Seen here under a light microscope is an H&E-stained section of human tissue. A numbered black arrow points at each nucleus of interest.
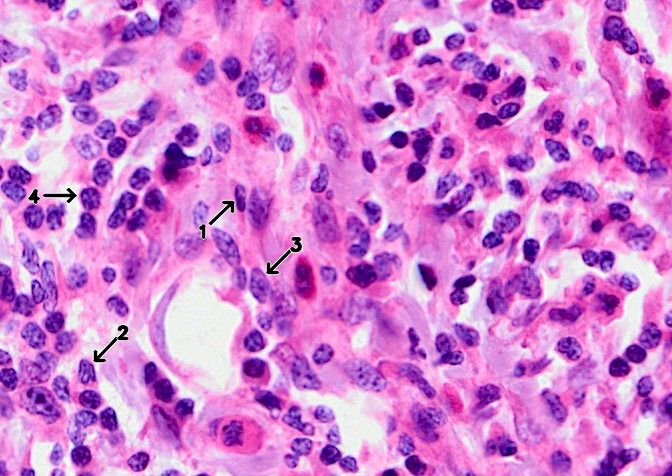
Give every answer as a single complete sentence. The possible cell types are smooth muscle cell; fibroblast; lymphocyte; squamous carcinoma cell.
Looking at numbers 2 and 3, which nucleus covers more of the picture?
Of the two, number 3 is bigger and takes up about 1.5 times the area of number 2.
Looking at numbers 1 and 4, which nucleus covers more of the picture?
The larger nucleus is 4, at roughly 1.5 times the area of 1.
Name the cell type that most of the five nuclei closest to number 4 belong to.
Lymphocytes account for more than half of the five nuclei nearest to number 4.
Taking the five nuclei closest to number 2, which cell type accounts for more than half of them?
Most of the five nuclei nearest to number 2 are those of lymphocytes.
